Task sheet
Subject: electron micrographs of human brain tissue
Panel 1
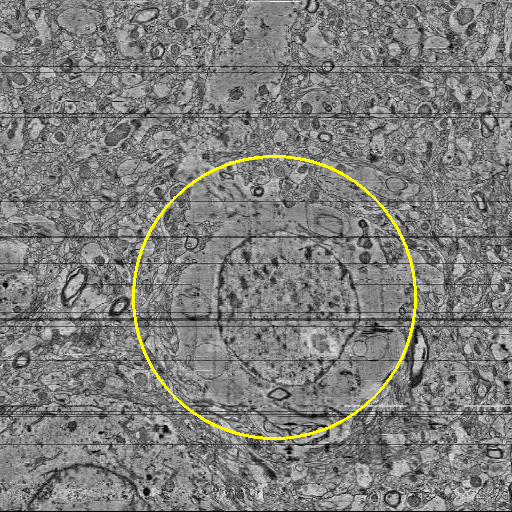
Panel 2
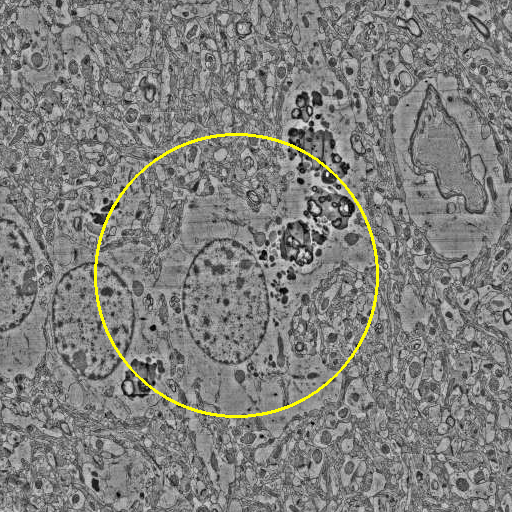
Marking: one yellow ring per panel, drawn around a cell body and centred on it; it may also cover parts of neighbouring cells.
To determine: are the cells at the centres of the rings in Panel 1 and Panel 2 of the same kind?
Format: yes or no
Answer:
yes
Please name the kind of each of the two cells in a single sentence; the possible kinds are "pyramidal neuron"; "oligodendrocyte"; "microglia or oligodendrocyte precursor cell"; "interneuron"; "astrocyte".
Both cells are the same kind, each one being an astrocyte.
